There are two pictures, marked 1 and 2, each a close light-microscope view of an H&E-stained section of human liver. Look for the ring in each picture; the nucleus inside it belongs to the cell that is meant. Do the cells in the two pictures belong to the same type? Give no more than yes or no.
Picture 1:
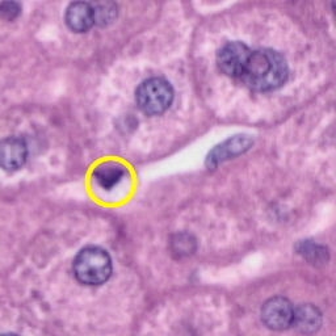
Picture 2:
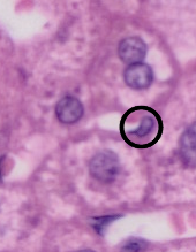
yes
